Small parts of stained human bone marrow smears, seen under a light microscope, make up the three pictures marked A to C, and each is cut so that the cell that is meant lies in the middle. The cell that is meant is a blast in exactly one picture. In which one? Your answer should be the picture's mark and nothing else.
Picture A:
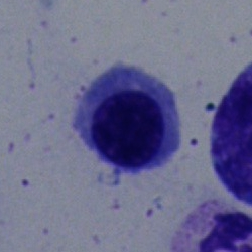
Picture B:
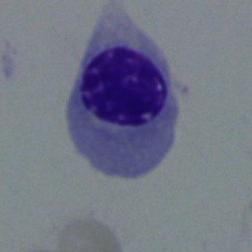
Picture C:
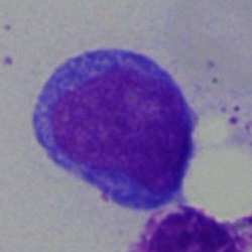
C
